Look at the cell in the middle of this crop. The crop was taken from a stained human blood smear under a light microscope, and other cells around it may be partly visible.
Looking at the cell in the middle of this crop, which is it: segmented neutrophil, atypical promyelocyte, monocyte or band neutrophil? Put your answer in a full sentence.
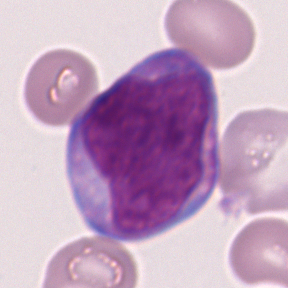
The centrally positioned cell in the crop represents an atypical promyelocyte.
